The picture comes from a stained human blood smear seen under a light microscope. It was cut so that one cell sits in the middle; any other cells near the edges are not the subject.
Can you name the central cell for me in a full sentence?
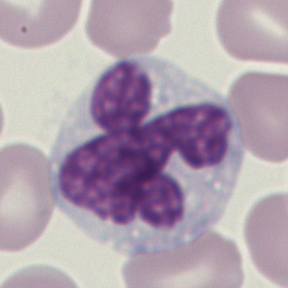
This crop is built around a monocyte at its centre.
